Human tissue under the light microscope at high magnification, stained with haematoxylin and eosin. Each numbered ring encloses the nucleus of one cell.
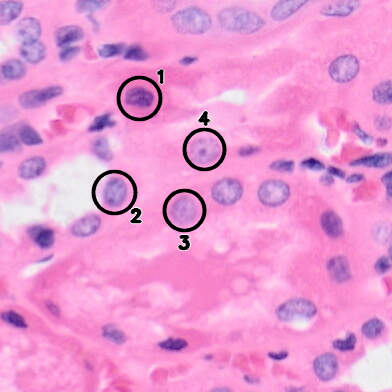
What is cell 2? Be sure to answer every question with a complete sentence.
The cell indicated by marker 2 is a loop of Henle or distal tubule cell in this section.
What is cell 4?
The cell marked with number 4 is a proximal tubule cell.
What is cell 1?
The correct label for cell 1 is a proximal tubule cell.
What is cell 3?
In this section, the cell tagged 3 is a proximal tubule cell.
